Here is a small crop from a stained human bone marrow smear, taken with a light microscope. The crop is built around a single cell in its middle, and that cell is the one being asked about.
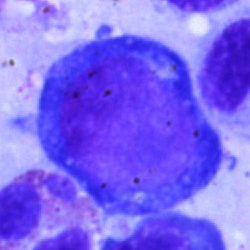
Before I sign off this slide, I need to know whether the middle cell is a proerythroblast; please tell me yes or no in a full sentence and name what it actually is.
Yes, the cell in the middle is a proerythroblast.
